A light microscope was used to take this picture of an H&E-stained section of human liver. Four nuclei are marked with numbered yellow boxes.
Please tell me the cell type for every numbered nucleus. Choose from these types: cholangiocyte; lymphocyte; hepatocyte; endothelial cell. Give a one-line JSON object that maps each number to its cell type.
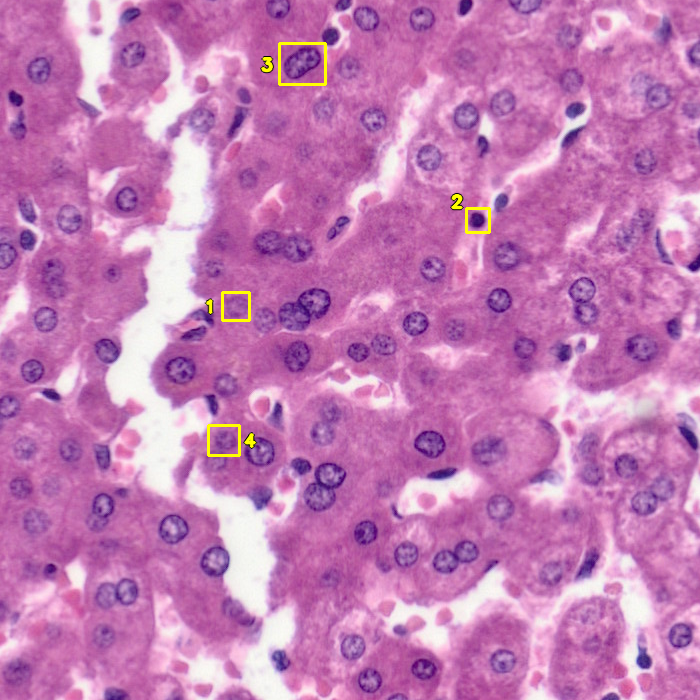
{"1": "hepatocyte", "2": "lymphocyte", "3": "hepatocyte", "4": "hepatocyte"}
